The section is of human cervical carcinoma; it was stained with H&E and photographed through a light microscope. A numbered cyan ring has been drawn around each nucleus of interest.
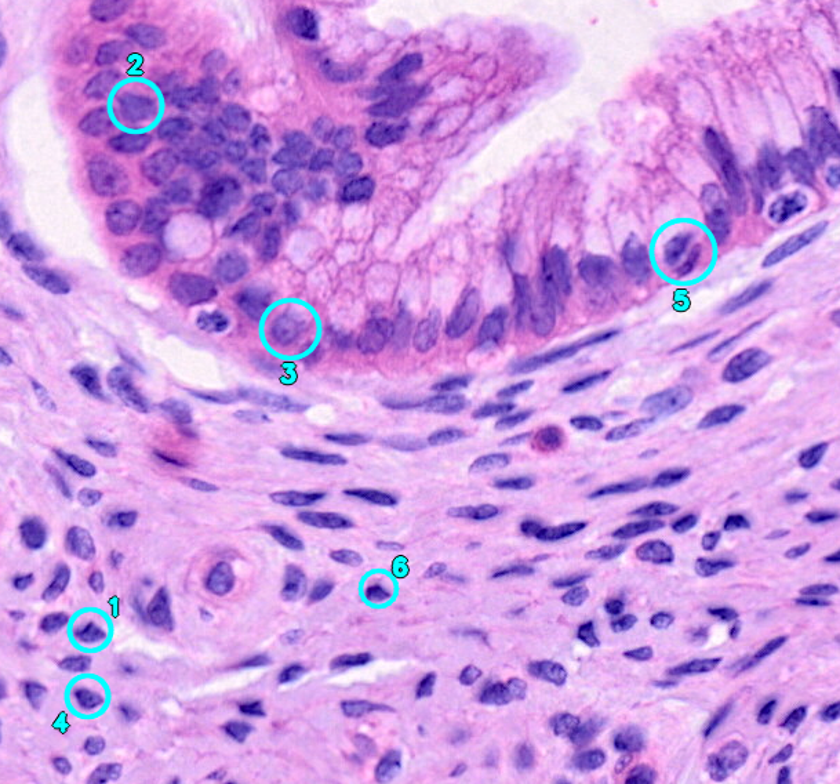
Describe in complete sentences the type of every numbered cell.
Cells 1, 4 and 6 are fibroblasts. Cells 2, 3 and 5 are secretory epithelial cells.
